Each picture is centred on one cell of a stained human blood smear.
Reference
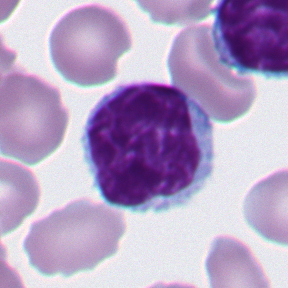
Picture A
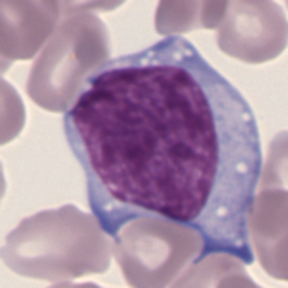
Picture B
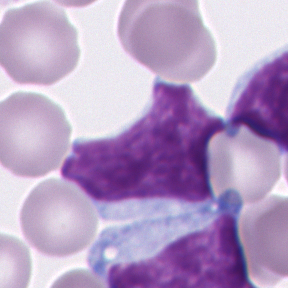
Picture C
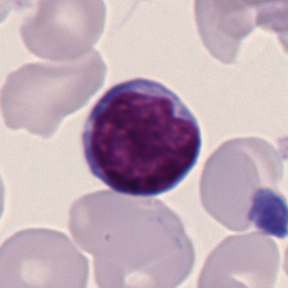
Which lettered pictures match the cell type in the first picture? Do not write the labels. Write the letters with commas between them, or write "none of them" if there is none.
B, C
